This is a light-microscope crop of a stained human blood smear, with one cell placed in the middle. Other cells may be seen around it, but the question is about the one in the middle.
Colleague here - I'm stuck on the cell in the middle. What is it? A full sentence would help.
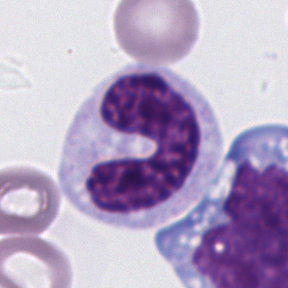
At the middle of the frame sits a band neutrophil.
